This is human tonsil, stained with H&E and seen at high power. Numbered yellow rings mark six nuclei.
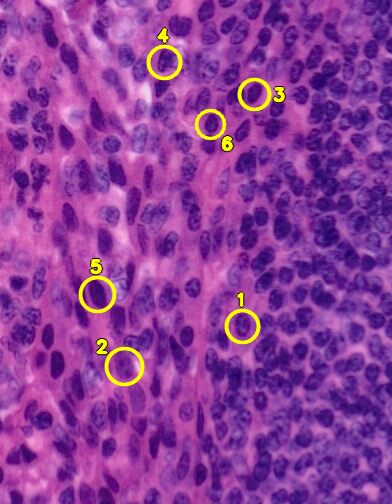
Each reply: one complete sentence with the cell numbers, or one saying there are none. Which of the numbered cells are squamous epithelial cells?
The cells numbered 2 and 5 are, by type, squamous epithelial cells.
